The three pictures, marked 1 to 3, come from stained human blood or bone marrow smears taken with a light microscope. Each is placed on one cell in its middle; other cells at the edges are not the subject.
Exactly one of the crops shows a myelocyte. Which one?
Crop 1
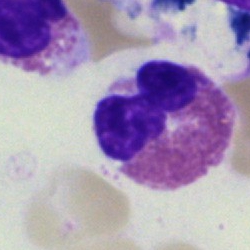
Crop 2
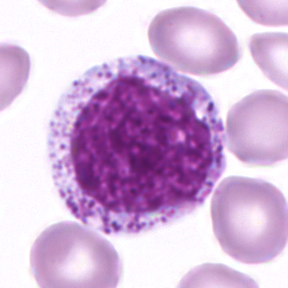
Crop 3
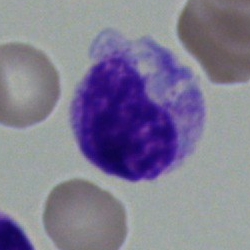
2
